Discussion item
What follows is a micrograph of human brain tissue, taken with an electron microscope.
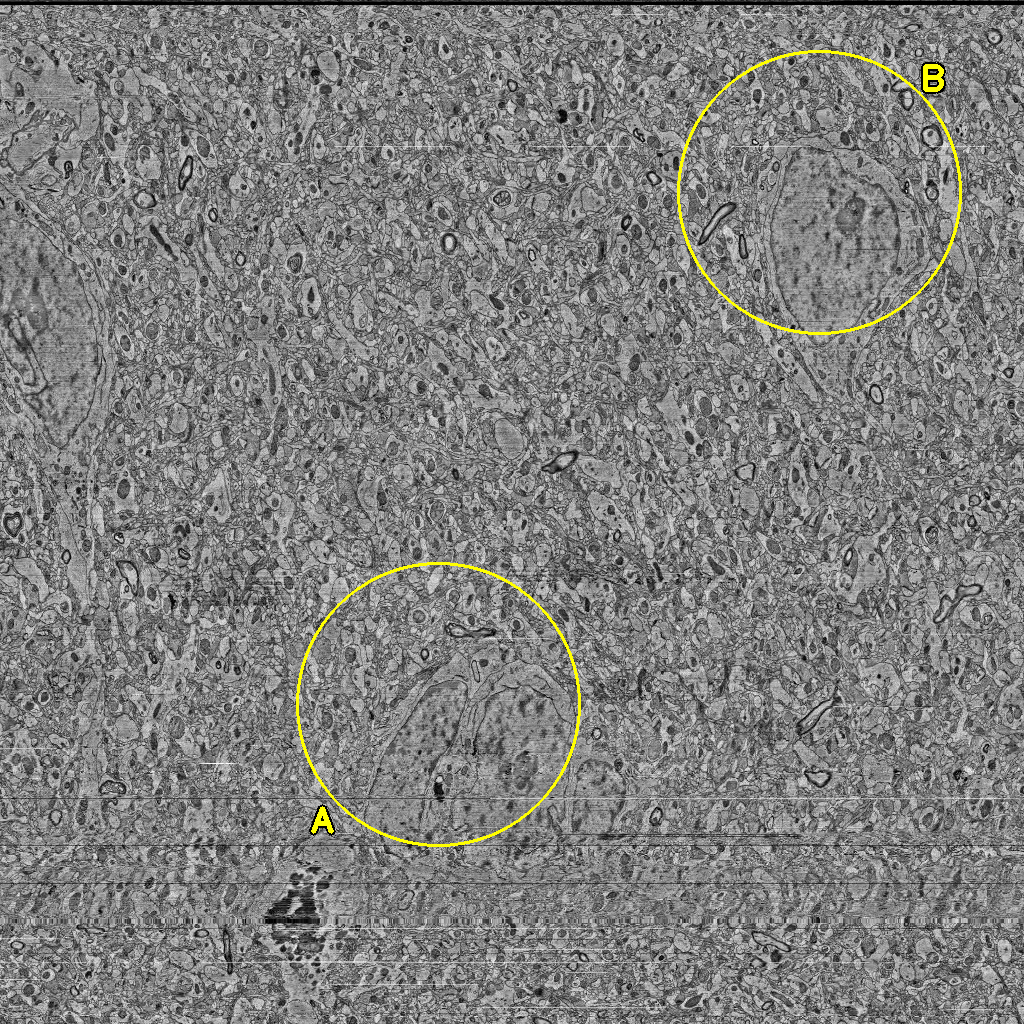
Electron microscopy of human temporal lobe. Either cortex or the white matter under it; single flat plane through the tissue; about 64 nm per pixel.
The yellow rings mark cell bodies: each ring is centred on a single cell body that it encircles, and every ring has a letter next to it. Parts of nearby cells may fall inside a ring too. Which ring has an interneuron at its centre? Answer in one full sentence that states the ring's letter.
Ring B is the ring whose centre falls on the cell the question asks about.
